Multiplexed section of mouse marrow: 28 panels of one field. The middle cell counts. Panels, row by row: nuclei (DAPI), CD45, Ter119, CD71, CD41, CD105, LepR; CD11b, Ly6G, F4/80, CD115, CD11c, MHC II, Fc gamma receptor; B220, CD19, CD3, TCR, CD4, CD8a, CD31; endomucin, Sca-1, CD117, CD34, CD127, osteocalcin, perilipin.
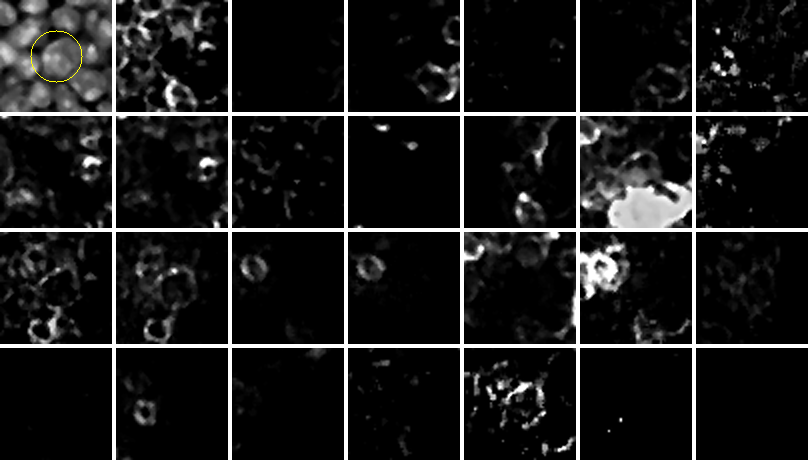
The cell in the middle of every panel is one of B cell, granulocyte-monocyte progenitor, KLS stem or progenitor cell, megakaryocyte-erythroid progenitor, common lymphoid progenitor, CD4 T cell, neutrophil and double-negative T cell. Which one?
common lymphoid progenitor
